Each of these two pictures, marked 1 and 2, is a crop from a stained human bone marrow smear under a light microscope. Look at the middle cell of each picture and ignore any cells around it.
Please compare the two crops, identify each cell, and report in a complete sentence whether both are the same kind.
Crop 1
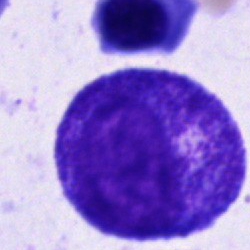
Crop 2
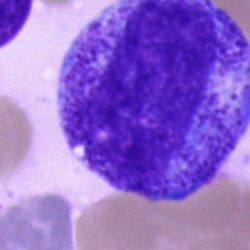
Yes, both crops show promyelocytes in the middle.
